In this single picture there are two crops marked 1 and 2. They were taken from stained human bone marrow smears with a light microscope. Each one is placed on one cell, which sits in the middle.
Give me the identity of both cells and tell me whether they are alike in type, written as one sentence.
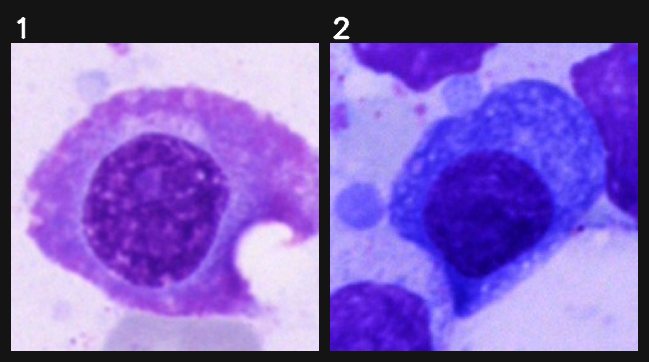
Yes, for both crops, the central cells are plasma cells.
